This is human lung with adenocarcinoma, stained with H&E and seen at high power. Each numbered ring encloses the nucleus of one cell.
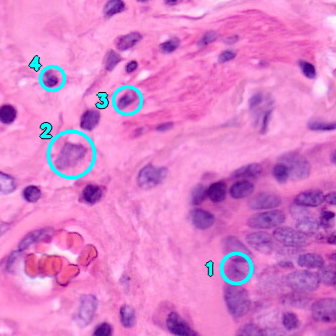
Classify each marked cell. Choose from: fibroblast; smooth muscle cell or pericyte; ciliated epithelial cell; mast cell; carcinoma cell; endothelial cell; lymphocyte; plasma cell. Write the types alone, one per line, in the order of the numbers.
ciliated epithelial cell
fibroblast
smooth muscle cell or pericyte
mast cell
